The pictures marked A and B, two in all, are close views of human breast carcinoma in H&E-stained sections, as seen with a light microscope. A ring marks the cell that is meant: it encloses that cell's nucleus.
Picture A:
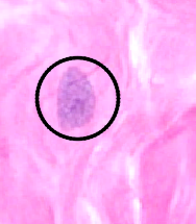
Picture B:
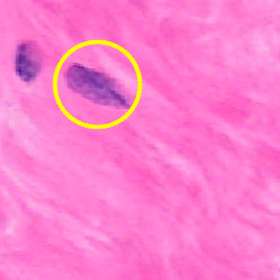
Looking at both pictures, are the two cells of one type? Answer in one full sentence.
Yes, they are the same type: both are fibroblasts.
